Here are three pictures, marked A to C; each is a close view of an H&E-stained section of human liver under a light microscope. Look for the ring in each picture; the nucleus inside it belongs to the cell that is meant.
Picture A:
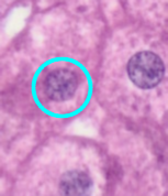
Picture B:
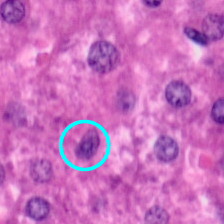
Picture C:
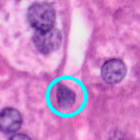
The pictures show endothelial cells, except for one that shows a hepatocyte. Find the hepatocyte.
A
